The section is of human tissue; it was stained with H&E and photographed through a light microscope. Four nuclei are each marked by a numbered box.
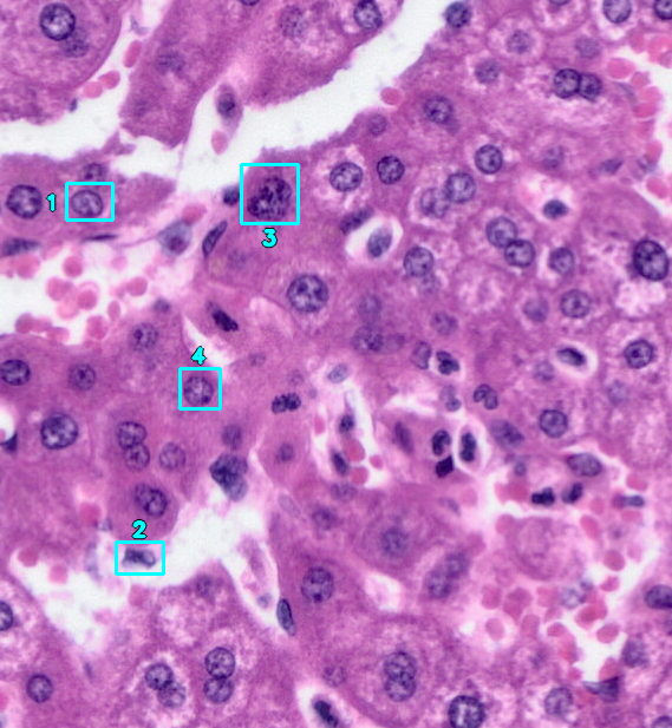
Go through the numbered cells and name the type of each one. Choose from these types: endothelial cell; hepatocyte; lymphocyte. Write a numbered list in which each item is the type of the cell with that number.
1. hepatocyte
2. endothelial cell
3. hepatocyte
4. hepatocyte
